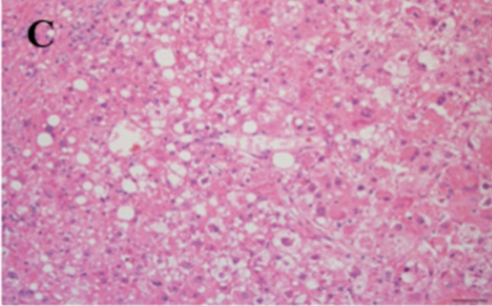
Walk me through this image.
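This is liver parenchyma with fatty change and damaged hepatocytes. Round clear fat vacuoles of varying size are scattered through the hepatocytes. Many hepatocytes look enlarged with pale, cleared, wispy cytoplasm, unlike the dense pink cytoplasm of normal liver cells. The regular arrangement of the cell plates is disturbed, and small dark nuclei lie between the damaged cells.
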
